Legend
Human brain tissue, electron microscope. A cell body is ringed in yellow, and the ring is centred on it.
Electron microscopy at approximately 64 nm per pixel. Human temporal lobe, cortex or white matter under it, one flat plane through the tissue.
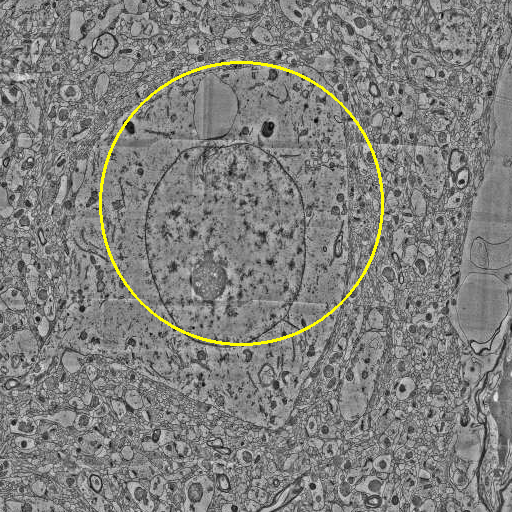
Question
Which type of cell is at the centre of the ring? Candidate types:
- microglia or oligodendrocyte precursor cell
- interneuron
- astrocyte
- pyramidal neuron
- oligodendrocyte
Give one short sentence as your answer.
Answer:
The yellow ring is centred here on a pyramidal neuron.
